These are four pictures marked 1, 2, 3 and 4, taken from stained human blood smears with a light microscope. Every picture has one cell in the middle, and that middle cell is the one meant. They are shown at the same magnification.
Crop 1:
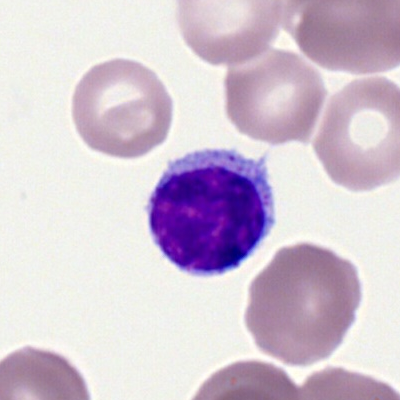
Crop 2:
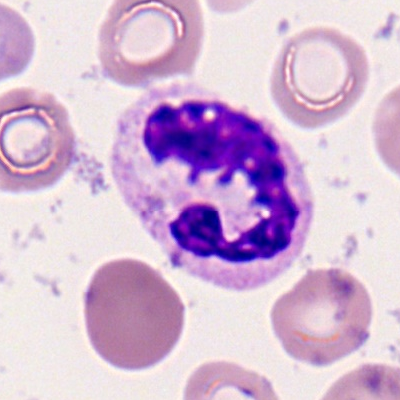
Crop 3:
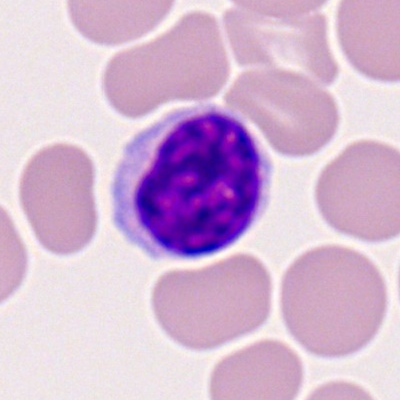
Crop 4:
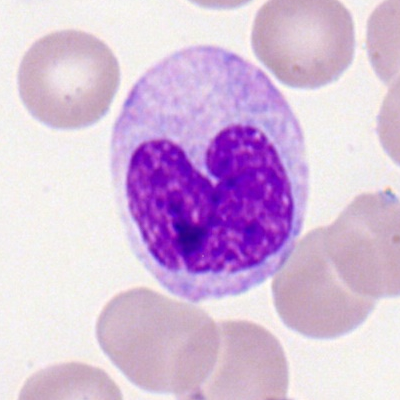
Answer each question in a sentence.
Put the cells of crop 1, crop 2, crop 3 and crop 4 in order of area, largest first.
The order is 4, 2, 3, 1, beginning with the largest.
